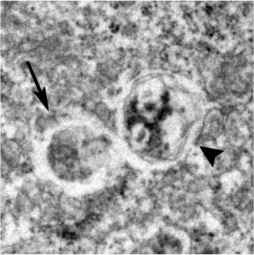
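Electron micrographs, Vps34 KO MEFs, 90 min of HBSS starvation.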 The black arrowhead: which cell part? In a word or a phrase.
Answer: autophagolysosomes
